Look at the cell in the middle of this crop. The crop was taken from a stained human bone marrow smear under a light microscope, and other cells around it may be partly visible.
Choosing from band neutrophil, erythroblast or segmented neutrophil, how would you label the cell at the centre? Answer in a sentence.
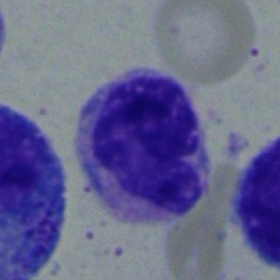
The cell marked by its central position in the crop is a band neutrophil.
